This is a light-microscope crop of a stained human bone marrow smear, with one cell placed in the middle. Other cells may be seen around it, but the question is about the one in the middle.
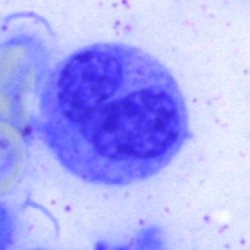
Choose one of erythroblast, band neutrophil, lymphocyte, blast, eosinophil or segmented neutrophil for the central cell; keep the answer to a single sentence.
Among the cells in view, the one in the middle is a band neutrophil.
